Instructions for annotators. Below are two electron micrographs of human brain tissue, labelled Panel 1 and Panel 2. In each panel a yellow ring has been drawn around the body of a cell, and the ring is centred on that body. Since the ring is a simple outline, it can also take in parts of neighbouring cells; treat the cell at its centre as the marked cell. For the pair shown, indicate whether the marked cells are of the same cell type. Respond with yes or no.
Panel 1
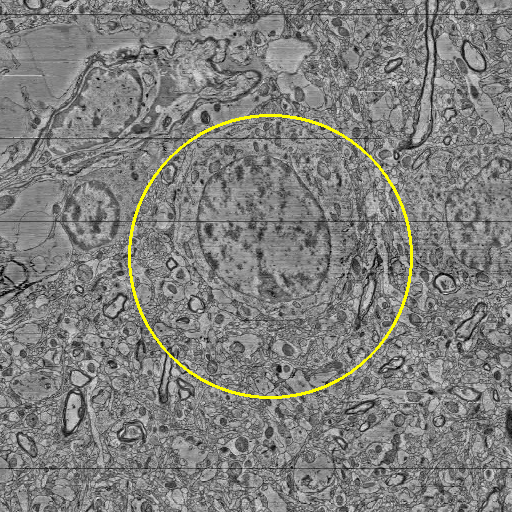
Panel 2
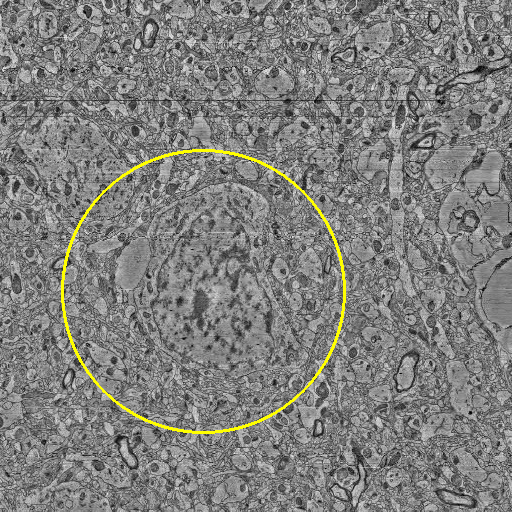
yes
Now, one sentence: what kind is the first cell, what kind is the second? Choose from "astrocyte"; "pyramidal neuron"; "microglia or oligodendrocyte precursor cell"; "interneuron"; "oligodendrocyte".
Each of the two cells is an interneuron.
